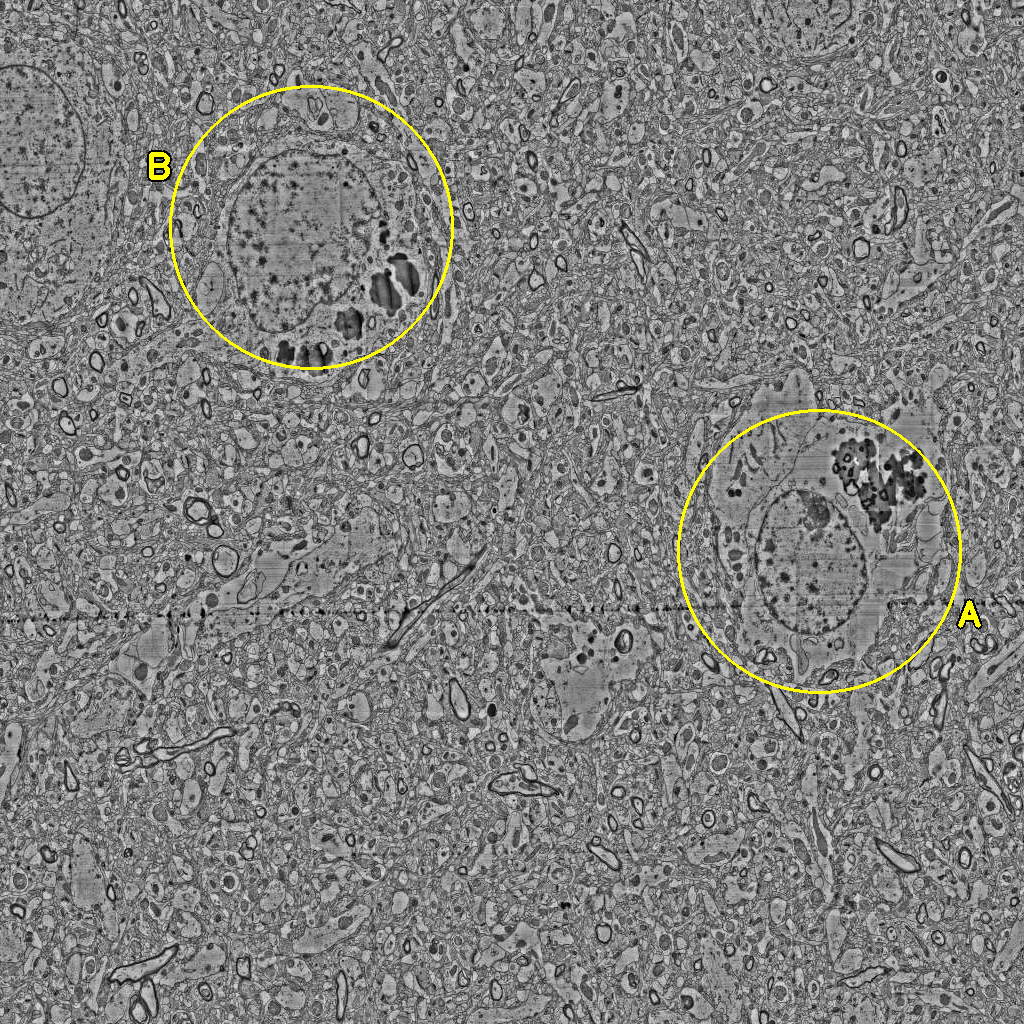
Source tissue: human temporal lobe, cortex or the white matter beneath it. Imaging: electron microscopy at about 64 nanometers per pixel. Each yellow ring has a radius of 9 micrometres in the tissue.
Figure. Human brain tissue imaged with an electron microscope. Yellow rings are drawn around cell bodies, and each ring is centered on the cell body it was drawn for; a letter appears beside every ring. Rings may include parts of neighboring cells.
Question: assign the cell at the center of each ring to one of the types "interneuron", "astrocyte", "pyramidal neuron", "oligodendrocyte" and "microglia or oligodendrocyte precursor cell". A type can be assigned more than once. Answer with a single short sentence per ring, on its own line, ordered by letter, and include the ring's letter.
Centered in ring A is an astrocyte.
Centered in ring B is an interneuron.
